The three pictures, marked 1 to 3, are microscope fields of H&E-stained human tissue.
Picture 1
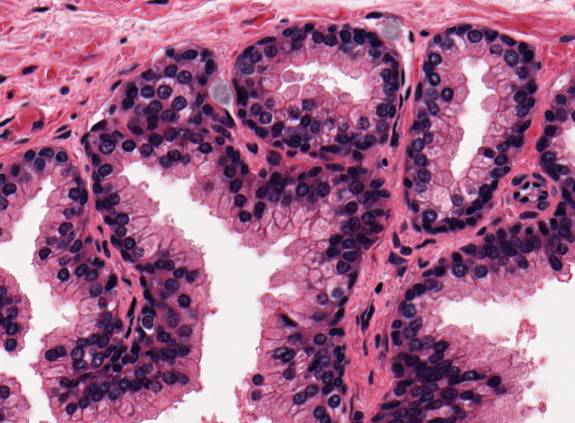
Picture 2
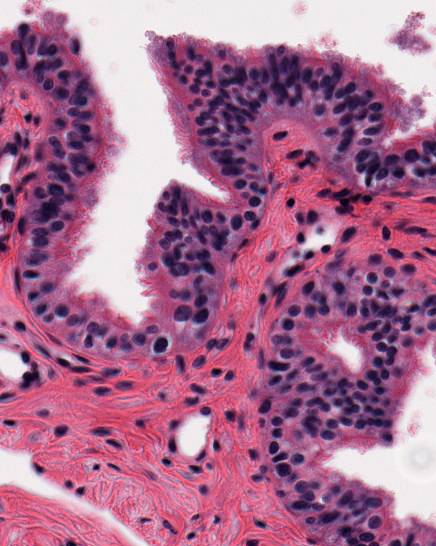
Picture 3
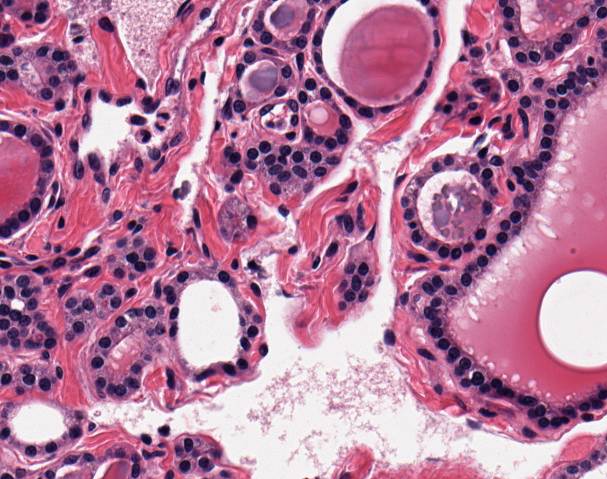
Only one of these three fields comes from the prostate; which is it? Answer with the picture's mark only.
1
